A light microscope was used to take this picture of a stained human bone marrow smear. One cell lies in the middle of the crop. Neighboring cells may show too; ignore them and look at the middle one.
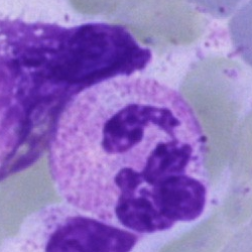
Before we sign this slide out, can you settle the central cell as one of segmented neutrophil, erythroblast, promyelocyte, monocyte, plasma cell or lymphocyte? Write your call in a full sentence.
Whatever else lies nearby, the middle cell is a segmented neutrophil.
